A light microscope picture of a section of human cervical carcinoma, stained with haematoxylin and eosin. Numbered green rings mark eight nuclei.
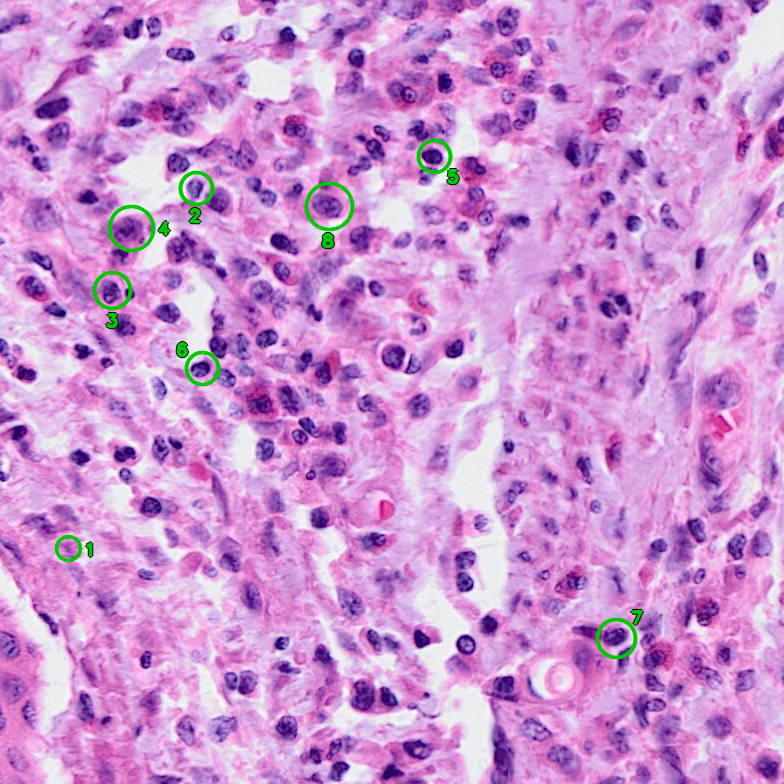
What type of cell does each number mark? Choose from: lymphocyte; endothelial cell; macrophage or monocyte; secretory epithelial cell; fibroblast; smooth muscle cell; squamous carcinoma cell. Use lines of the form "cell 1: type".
cell 1: fibroblast
cell 2: lymphocyte
cell 3: lymphocyte
cell 4: macrophage or monocyte
cell 5: lymphocyte
cell 6: lymphocyte
cell 7: lymphocyte
cell 8: macrophage or monocyte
